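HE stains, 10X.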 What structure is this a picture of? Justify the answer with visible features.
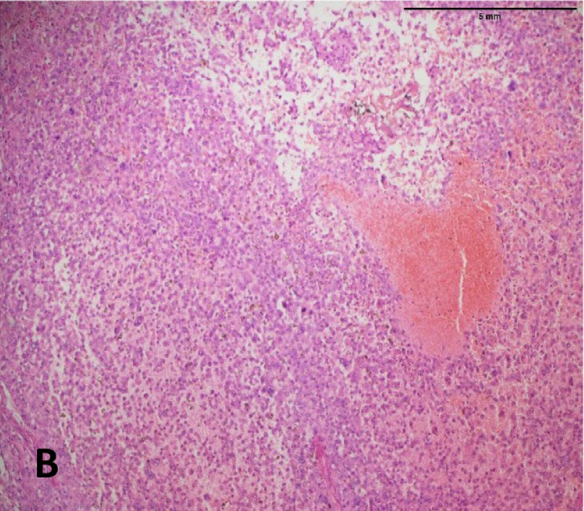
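Cells form broad continuous sheets across the field. No glands or organised structures separate the cells.
Sheeted arrangement.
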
